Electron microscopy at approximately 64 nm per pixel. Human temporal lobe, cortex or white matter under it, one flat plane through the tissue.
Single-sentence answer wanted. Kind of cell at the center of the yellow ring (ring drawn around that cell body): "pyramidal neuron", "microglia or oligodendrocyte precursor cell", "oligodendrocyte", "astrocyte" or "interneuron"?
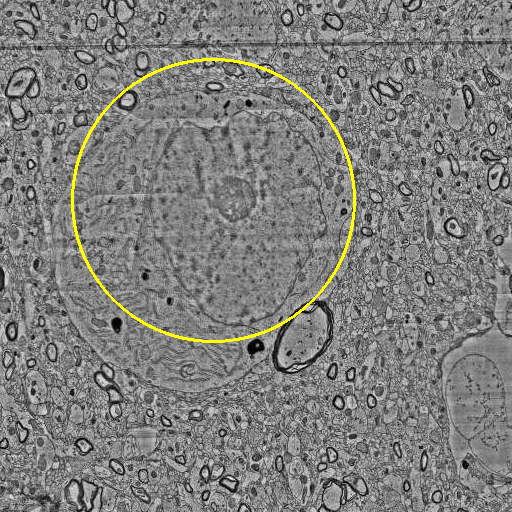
The cell centered in the ring is an interneuron.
